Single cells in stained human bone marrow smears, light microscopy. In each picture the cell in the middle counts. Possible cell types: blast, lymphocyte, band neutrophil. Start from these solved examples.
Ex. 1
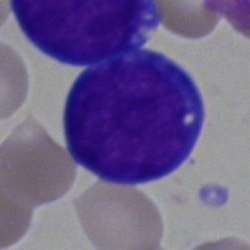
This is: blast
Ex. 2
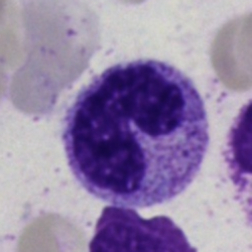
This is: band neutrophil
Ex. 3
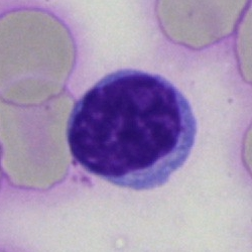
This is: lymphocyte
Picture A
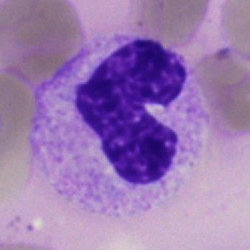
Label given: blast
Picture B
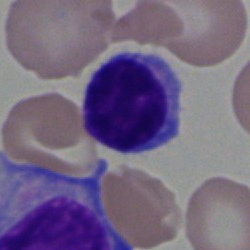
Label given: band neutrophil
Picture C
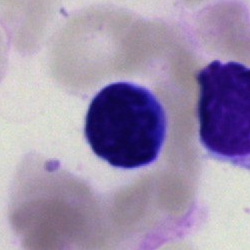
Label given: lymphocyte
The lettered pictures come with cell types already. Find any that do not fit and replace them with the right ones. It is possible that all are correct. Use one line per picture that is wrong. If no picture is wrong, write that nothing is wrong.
Wrong: A (blast); correct: band neutrophil
Wrong: B (band neutrophil); correct: lymphocyte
